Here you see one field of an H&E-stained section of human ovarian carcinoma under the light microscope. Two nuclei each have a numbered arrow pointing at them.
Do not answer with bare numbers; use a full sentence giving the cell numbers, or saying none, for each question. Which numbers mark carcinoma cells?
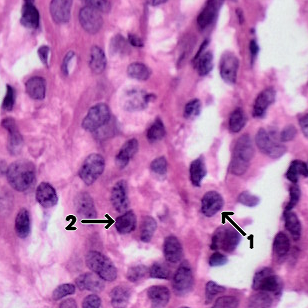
Of all the numbered cells, only cell 2 is a carcinoma cell.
